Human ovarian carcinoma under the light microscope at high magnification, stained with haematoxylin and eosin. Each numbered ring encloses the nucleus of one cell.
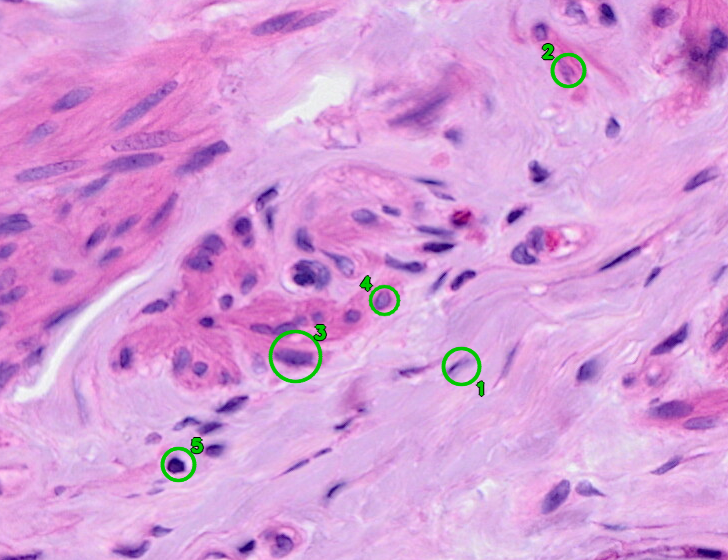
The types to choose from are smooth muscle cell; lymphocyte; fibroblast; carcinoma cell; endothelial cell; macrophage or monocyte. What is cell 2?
smooth muscle cell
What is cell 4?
smooth muscle cell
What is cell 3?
smooth muscle cell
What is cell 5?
lymphocyte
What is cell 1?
fibroblast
